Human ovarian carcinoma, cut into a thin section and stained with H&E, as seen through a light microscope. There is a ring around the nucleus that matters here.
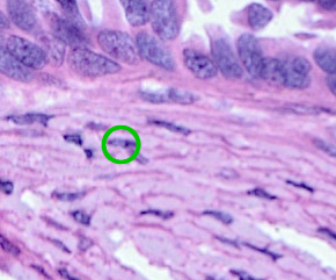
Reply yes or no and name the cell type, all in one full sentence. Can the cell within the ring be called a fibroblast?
Yes, the classification of the cell within the ring as a fibroblast is accurate.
